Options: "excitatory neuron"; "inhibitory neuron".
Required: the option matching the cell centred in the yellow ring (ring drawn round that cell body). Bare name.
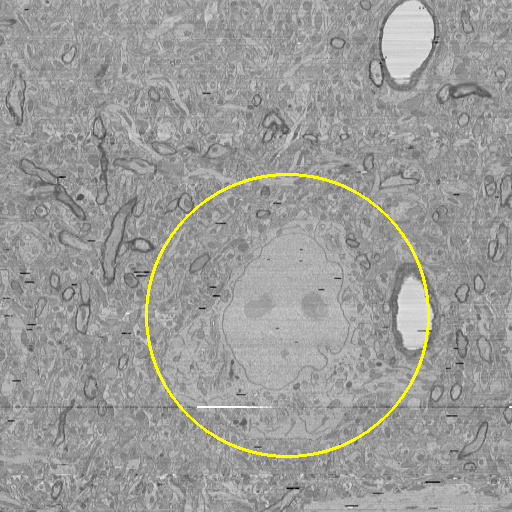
excitatory neuron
